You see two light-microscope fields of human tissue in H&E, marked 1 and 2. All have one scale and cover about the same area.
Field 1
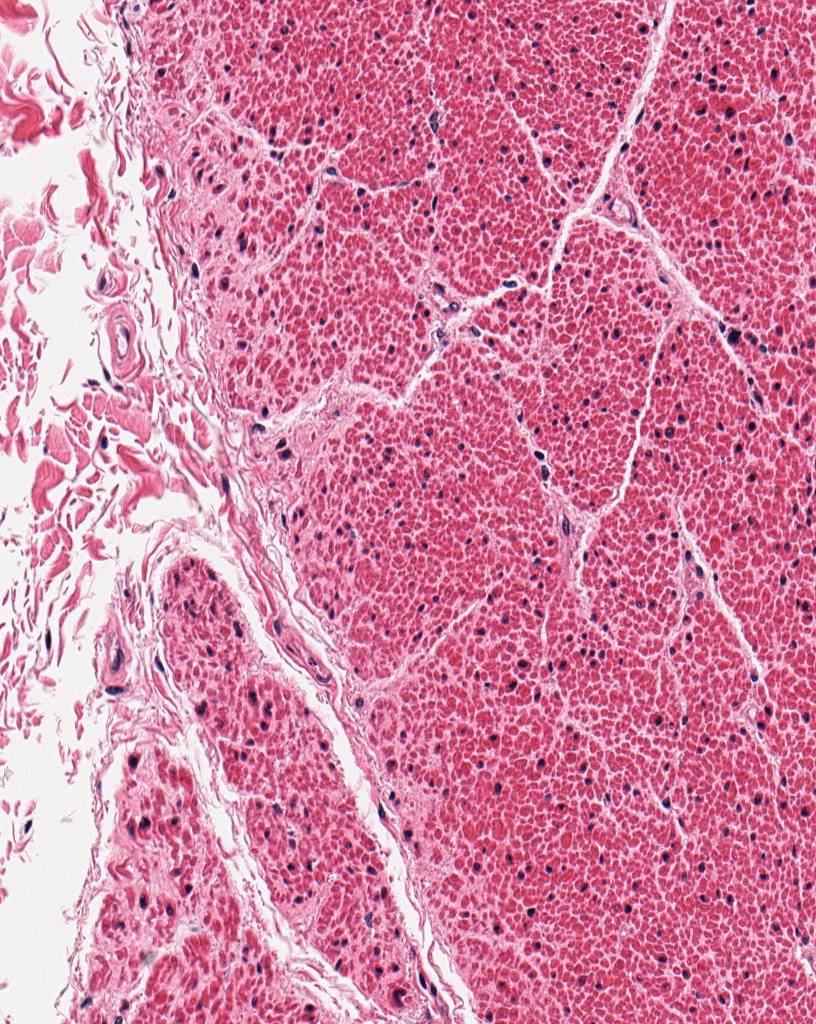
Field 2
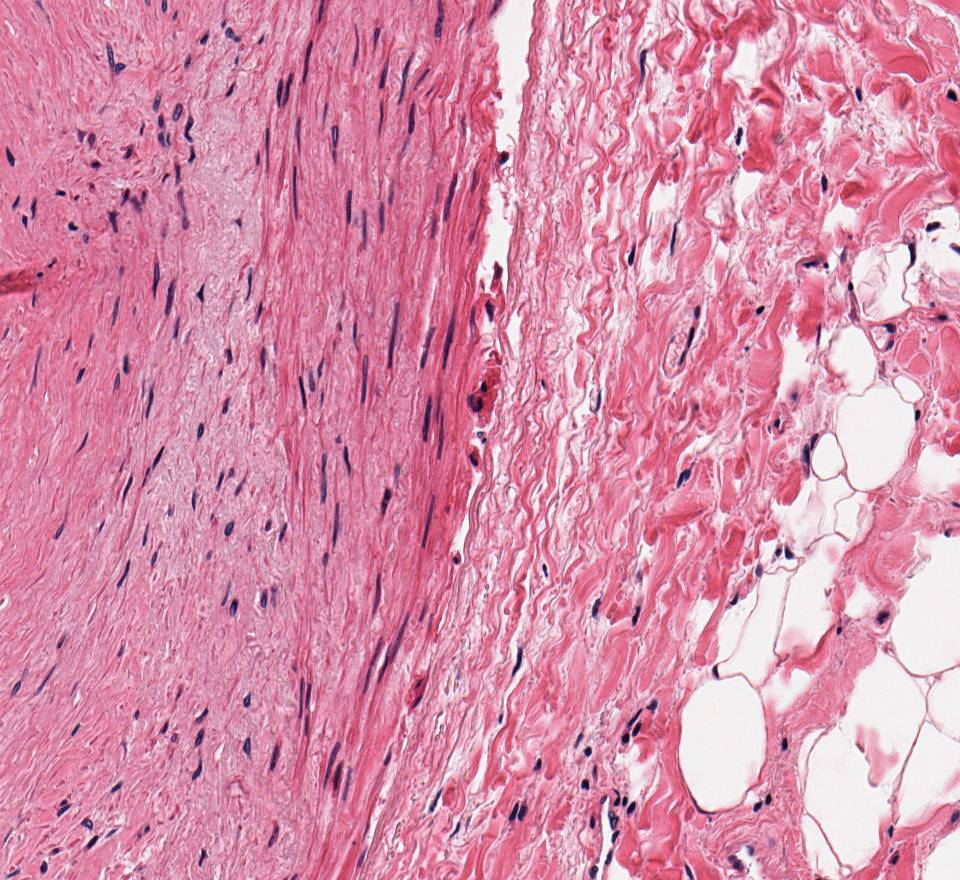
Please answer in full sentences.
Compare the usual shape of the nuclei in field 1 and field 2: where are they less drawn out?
On the whole the nuclei of field 1 are rounder than those of field 2.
